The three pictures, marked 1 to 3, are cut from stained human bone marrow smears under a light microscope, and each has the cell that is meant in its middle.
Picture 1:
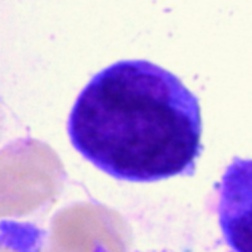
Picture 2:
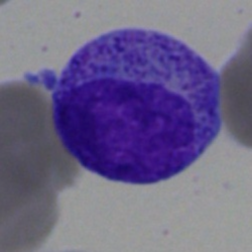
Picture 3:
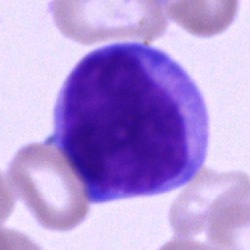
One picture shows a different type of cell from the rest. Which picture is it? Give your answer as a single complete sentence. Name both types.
Picture 2 differs, because its cell is a promyelocyte and the rest are blasts.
